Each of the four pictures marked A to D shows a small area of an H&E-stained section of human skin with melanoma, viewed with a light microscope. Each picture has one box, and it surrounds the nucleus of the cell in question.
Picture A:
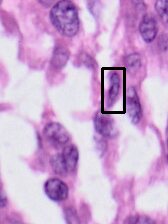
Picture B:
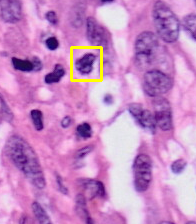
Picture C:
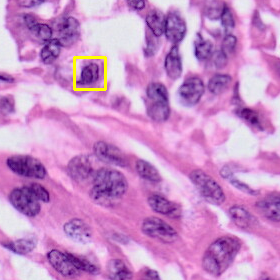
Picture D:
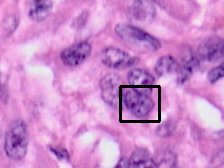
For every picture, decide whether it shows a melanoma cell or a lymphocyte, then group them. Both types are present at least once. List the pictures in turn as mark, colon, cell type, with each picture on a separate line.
A: melanoma cell
B: lymphocyte
C: melanoma cell
D: melanoma cell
